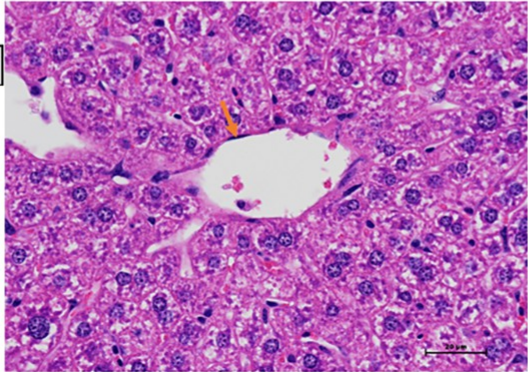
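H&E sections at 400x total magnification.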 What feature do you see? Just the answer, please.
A: Central vein.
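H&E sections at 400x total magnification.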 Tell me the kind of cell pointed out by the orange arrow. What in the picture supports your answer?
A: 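Endothelial cells. The arrow points to a thin, dark, elongated nucleus lying flat along the vessel lining. The cell is flattened against the lumen, unlike the large polygonal hepatocytes around.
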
